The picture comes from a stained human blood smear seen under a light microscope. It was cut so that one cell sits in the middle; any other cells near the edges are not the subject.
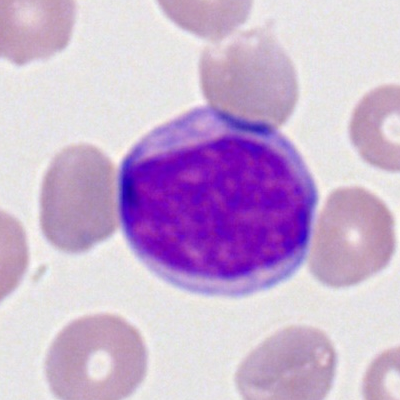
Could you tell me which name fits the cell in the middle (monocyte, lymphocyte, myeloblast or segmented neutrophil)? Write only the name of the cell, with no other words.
myeloblast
